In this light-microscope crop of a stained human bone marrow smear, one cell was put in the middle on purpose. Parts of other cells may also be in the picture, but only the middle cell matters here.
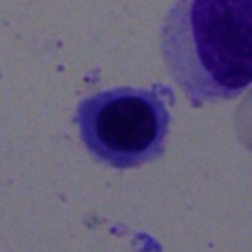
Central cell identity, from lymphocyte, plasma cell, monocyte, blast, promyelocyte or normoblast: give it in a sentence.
The cell positioned in the middle of the field is a normoblast.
